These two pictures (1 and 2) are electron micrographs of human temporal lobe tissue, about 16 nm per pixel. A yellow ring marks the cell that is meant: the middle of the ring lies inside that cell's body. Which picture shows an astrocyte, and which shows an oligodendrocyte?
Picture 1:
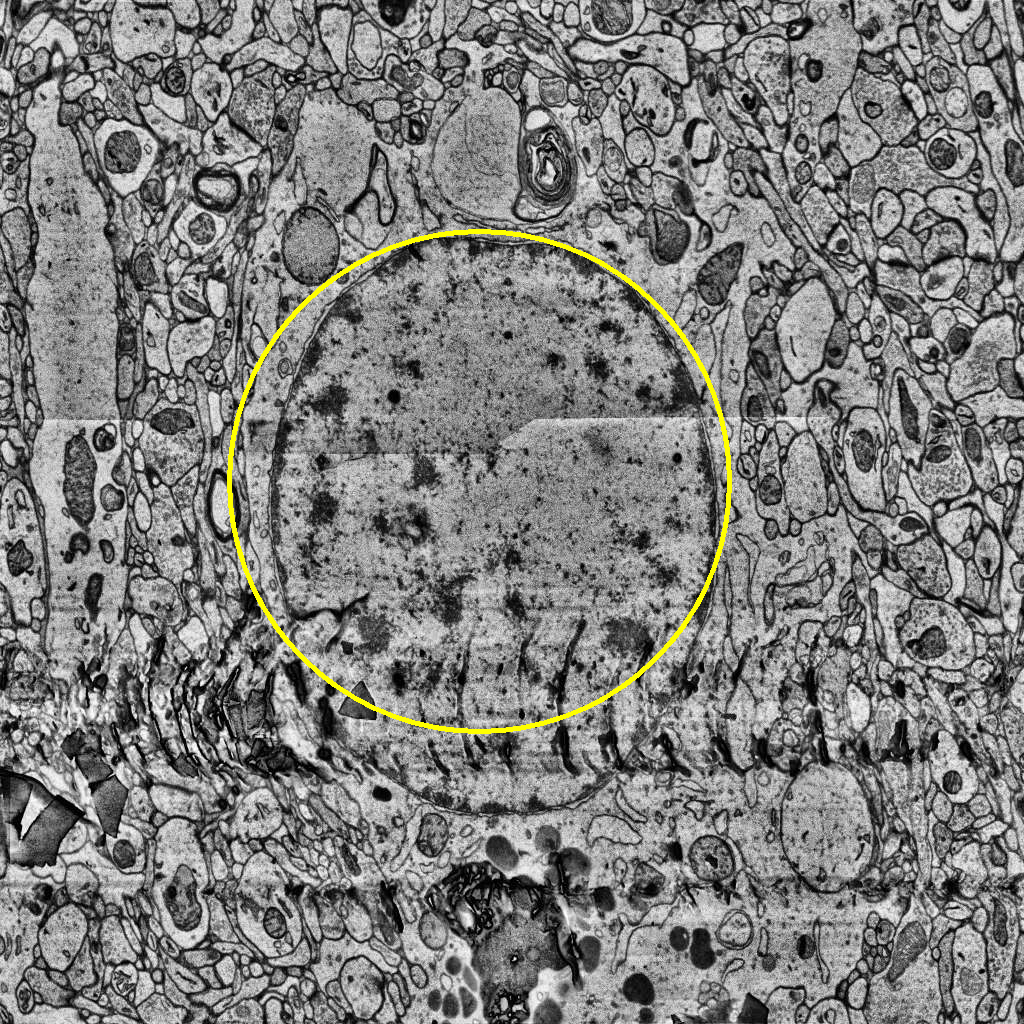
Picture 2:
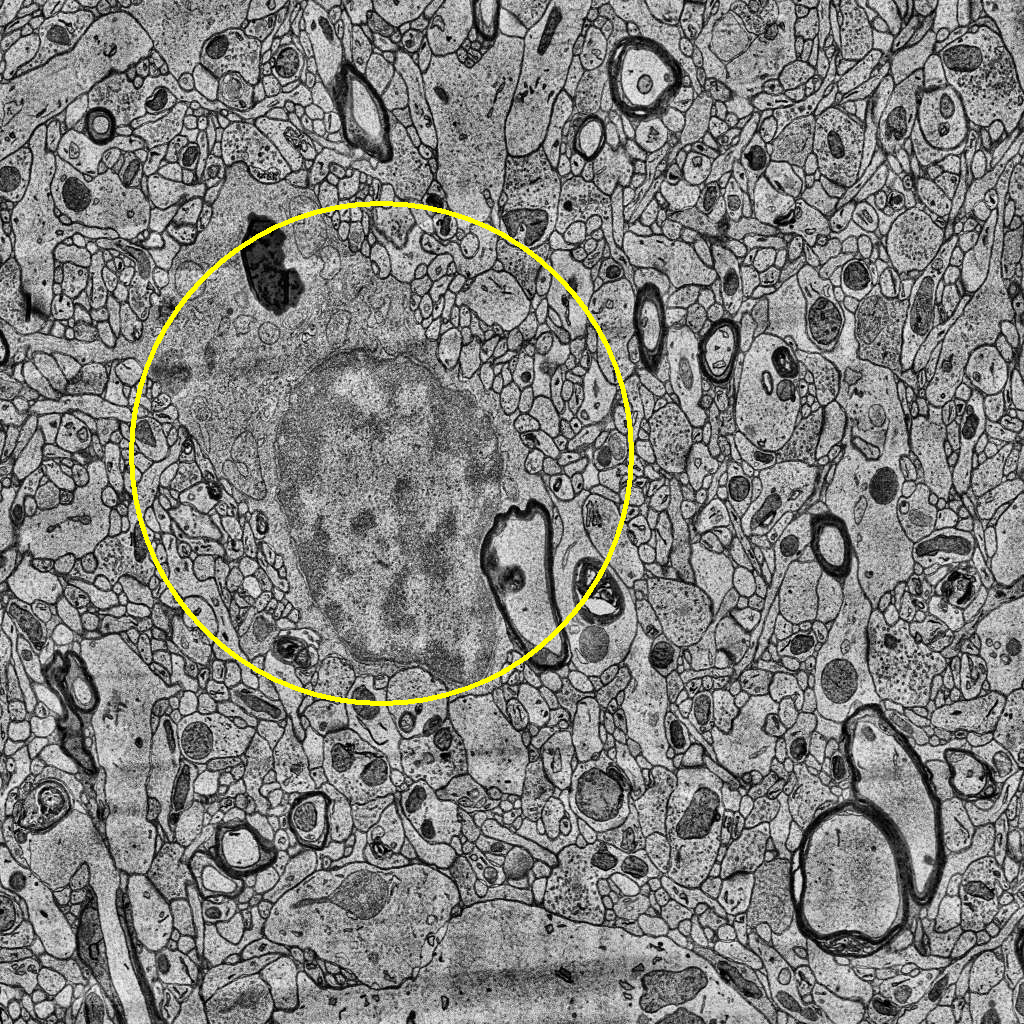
Picture 2 shows an oligodendrocyte, while picture 1 shows an astrocyte.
